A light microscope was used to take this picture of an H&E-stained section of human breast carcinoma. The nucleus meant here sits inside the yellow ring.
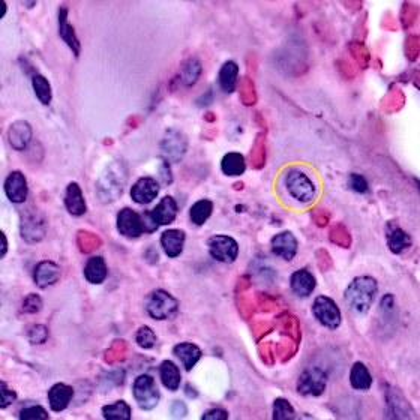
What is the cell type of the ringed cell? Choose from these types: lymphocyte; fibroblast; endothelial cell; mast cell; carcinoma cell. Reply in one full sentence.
The identity of the ringed cell is that of a mast cell.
